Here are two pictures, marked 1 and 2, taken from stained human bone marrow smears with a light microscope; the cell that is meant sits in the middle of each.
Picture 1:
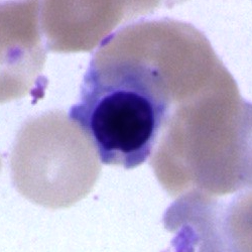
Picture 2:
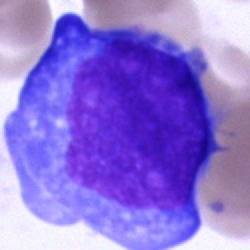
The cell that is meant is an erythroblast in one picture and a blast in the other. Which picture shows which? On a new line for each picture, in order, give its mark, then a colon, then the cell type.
1: erythroblast
2: blast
